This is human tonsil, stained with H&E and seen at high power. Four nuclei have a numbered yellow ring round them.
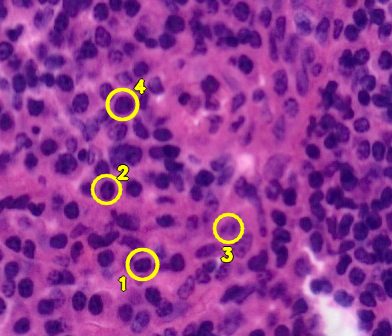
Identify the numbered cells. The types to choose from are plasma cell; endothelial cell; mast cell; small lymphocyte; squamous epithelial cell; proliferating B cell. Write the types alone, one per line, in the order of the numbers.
plasma cell
plasma cell
squamous epithelial cell
plasma cell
